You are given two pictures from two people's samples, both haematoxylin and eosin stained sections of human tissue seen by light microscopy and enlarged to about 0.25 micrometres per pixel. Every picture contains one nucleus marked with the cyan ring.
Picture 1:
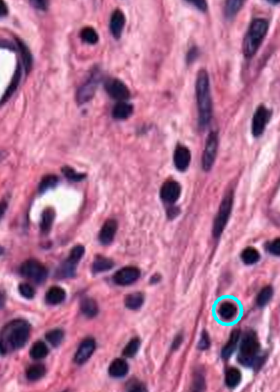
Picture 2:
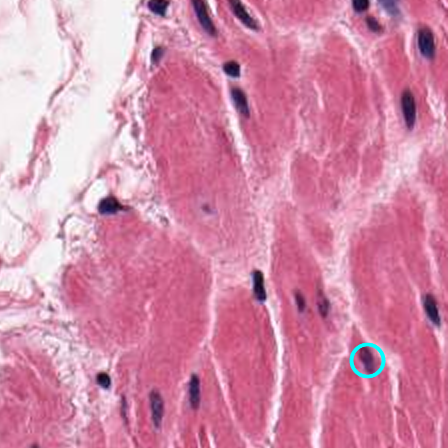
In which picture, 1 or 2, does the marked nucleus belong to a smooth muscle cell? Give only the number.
2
